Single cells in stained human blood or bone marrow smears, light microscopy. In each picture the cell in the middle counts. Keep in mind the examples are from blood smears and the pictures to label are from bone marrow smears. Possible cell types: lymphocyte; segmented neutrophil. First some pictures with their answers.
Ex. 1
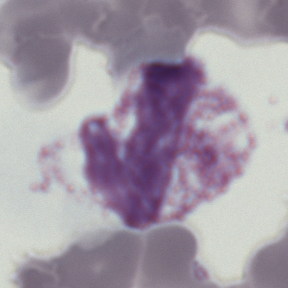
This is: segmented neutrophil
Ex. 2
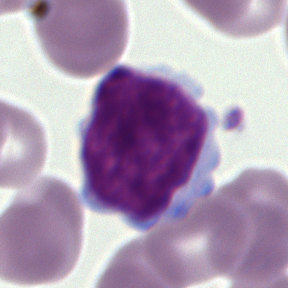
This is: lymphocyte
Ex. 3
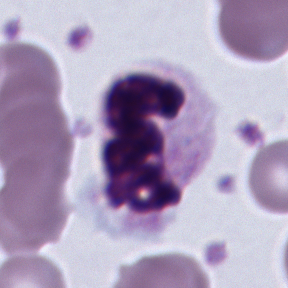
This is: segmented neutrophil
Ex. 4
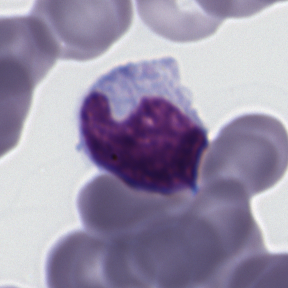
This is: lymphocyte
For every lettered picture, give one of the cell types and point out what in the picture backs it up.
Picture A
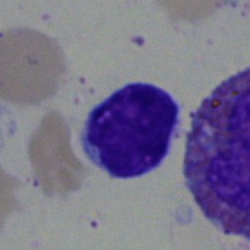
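lymphocyte. The nucleus fills almost the whole cell.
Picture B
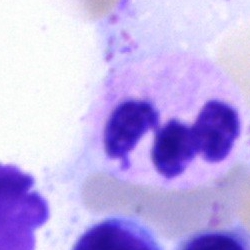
segmented neutrophil. The cytoplasm is abundant and pale pinkish-lilac.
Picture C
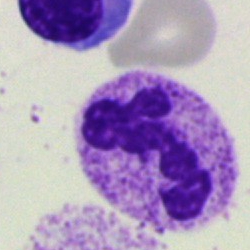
segmented neutrophil. Fine violet granules fill the cytoplasm evenly.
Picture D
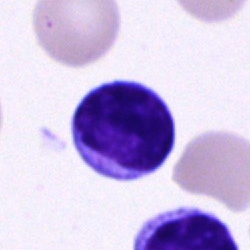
lymphocyte. The nucleus fills almost the whole cell, leaving very little cytoplasm.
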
